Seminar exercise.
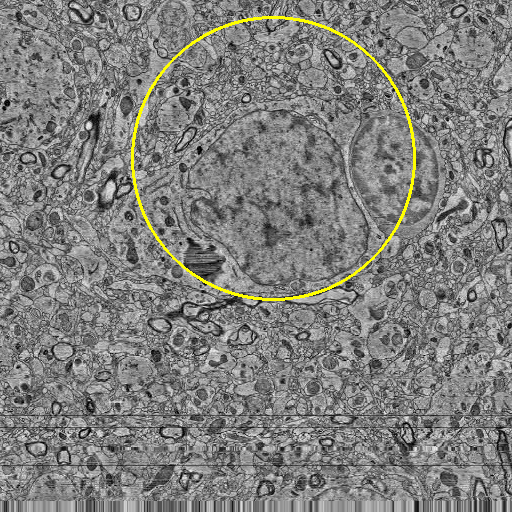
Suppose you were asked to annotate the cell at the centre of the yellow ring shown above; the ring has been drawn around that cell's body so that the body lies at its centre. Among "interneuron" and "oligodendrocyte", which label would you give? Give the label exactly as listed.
interneuron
